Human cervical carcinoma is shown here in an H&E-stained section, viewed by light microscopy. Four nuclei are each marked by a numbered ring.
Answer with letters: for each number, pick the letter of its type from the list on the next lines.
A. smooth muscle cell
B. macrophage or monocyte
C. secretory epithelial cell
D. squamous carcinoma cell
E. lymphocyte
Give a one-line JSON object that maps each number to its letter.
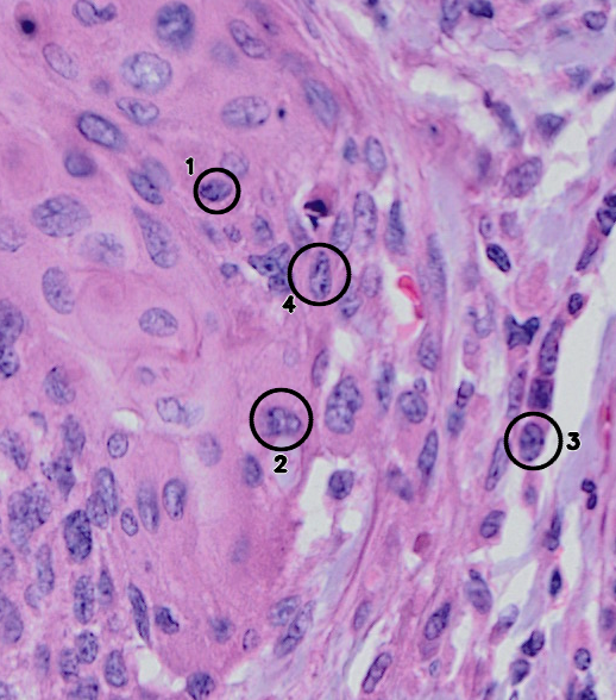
{"1": "D", "2": "D", "3": "B", "4": "D"}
